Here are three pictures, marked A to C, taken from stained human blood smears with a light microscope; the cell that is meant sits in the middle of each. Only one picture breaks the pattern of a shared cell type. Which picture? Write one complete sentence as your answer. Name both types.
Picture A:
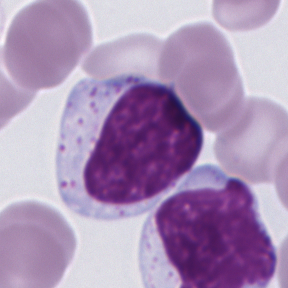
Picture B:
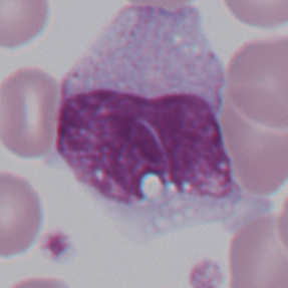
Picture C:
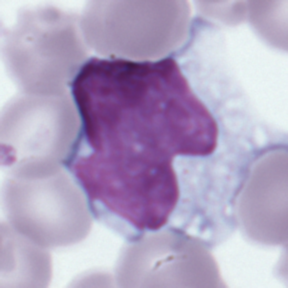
Picture A differs, because its cell is a large granular lymphocyte and the rest are monocytes.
